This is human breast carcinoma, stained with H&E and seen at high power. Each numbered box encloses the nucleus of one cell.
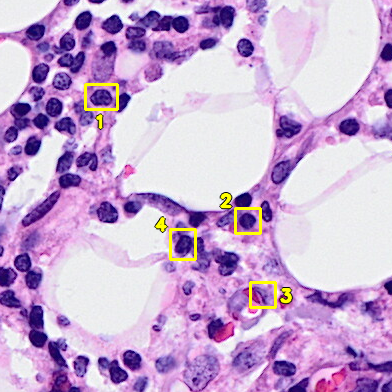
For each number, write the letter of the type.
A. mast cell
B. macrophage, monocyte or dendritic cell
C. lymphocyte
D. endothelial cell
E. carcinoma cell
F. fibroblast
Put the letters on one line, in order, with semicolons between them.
C; C; D; C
